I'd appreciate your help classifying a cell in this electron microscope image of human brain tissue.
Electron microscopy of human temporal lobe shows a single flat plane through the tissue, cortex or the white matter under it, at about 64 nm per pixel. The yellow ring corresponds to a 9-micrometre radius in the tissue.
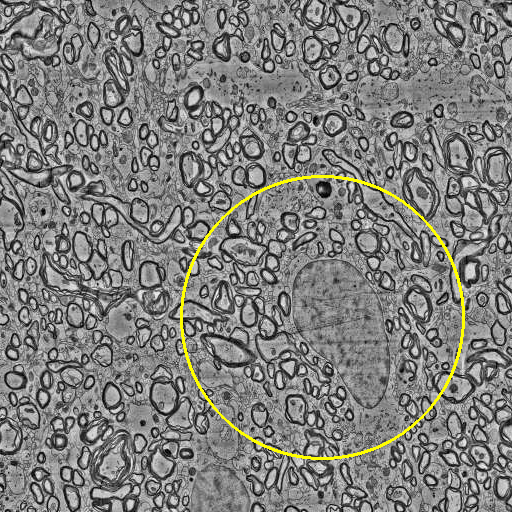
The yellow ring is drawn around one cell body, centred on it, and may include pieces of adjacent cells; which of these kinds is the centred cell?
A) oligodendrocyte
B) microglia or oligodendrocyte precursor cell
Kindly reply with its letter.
B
